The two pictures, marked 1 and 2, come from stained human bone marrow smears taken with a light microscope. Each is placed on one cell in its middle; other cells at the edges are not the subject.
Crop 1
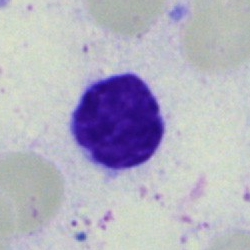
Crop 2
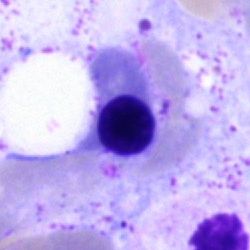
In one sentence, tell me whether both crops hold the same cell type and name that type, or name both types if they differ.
No; crop 1 is a lymphocyte, while crop 2 is an erythroblast.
